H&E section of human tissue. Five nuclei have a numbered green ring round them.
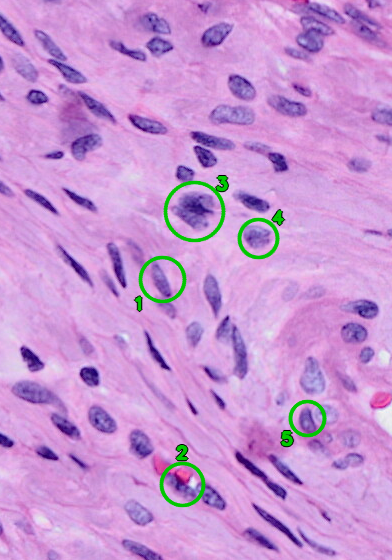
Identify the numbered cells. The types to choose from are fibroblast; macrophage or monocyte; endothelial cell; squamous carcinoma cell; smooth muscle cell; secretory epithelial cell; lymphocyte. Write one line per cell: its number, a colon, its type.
1: fibroblast
2: endothelial cell
3: fibroblast
4: fibroblast
5: smooth muscle cell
